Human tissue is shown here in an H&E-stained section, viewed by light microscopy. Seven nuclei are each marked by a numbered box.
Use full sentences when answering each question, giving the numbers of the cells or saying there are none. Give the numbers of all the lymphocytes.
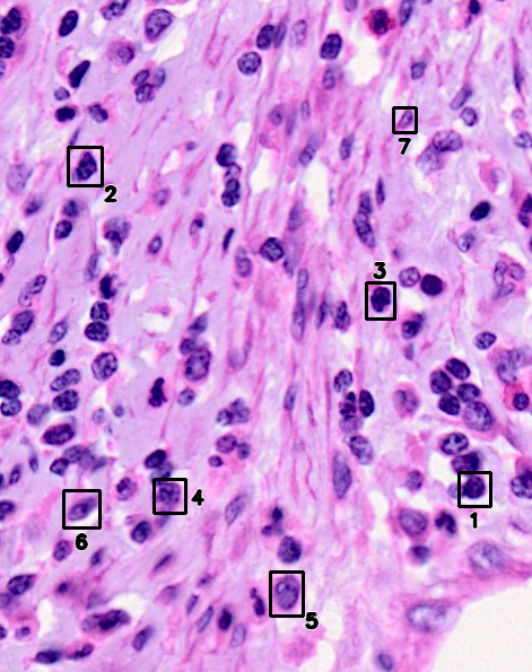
The cells tagged with numbers 1, 2, 3 and 4 are lymphocytes.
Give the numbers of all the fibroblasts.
Cell 7 is a fibroblast, and it is the only one.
